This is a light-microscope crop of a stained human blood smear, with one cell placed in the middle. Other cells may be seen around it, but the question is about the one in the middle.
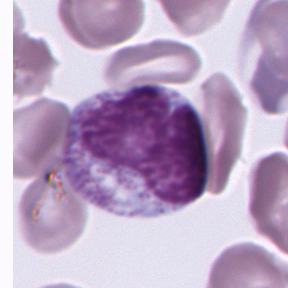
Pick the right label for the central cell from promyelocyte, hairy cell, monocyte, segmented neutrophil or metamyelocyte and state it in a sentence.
Standing at the centre of this crop is a metamyelocyte.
